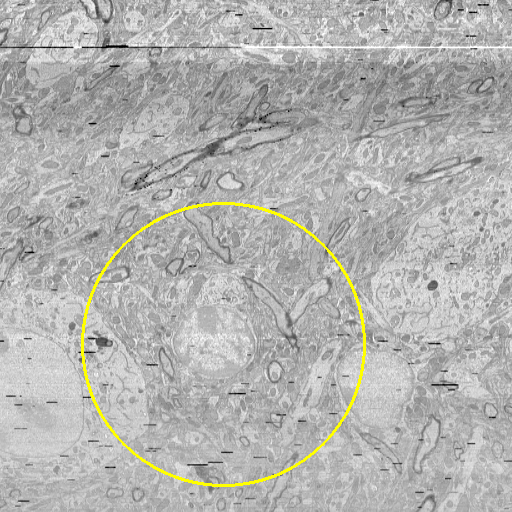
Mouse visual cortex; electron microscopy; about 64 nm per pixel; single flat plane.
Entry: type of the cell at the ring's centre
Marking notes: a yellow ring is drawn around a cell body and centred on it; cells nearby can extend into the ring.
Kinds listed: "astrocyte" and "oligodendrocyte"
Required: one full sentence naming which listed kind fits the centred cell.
My entry names an oligodendrocyte as the cell whose body the yellow ring centres on.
